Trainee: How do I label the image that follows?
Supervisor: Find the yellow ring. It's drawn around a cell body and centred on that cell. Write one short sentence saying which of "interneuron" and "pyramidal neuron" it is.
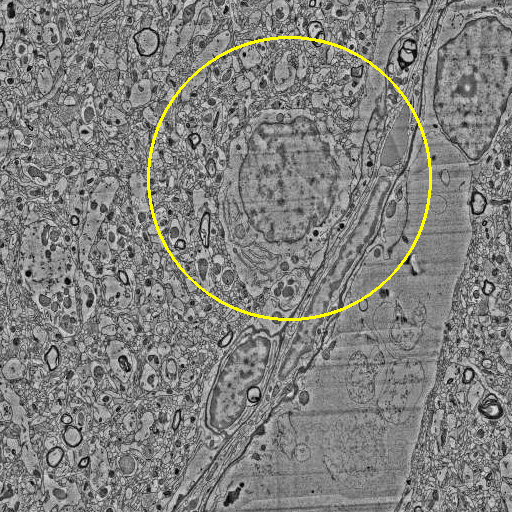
This is the cell body of an interneuron.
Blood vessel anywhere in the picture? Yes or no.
Yes.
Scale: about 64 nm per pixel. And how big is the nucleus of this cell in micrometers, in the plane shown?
The nucleus has a long axis of about 8 micrometres and a short axis of about 6 micrometres in this plane.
